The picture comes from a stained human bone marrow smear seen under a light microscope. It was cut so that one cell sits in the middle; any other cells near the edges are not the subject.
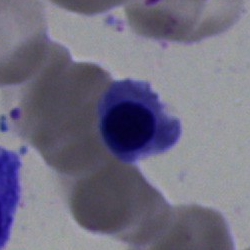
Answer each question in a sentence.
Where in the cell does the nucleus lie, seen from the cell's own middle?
It is shifted toward the lower left of the cell.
